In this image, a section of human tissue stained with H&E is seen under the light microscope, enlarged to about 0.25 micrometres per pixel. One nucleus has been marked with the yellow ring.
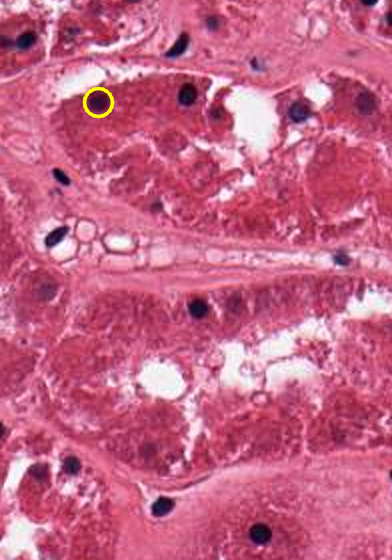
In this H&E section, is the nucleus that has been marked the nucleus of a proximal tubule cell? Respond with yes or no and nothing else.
yes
